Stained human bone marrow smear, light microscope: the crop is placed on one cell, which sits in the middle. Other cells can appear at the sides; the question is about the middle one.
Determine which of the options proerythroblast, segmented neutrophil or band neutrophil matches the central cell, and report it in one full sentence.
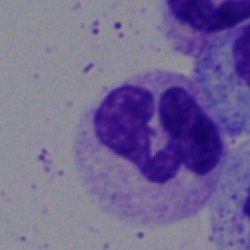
The cell marked by its central position in the crop is a segmented neutrophil.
